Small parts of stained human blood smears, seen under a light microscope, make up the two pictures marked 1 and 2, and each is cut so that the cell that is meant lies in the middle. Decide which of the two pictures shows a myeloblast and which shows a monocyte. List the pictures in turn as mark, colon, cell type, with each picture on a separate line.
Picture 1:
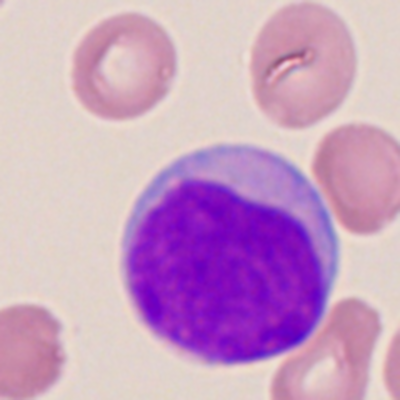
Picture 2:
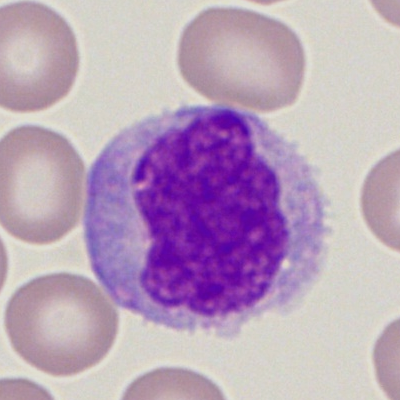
1: myeloblast
2: monocyte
